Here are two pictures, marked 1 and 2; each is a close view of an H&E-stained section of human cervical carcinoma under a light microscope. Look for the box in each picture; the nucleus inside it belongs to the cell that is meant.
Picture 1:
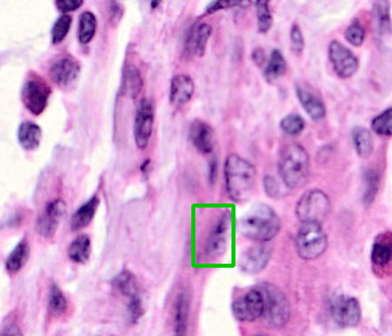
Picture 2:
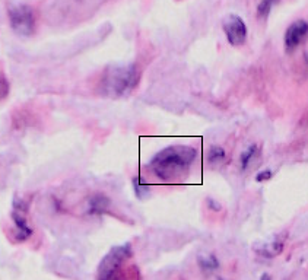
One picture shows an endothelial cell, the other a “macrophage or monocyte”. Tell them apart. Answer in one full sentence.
Picture 1 is of an endothelial cell, and picture 2 is of a “macrophage or monocyte”.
